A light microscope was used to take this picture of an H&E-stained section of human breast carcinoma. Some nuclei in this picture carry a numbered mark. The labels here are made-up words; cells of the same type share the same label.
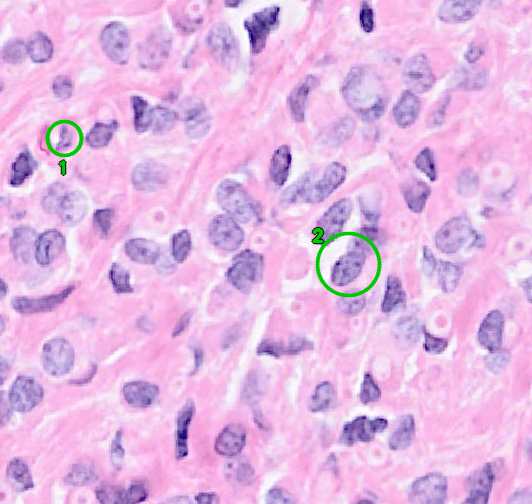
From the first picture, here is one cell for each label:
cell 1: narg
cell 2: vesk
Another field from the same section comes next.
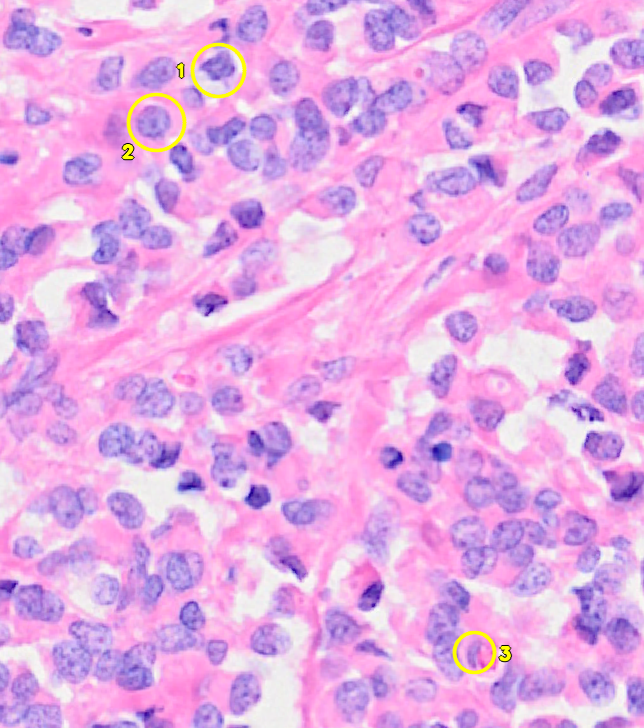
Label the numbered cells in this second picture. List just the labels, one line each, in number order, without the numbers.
vesk
vesk
narg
